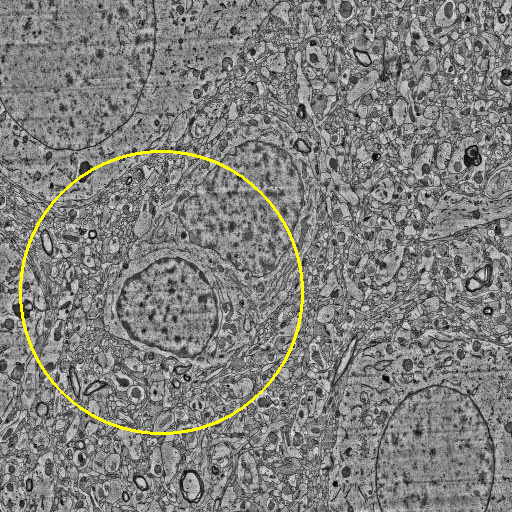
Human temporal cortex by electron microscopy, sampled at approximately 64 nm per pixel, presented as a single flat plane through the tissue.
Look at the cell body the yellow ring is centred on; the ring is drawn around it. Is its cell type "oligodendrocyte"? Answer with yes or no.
No, its cell type is another.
